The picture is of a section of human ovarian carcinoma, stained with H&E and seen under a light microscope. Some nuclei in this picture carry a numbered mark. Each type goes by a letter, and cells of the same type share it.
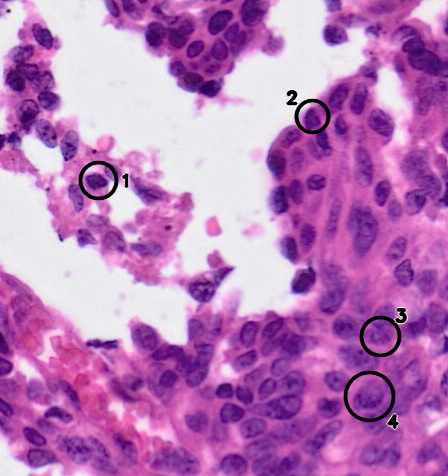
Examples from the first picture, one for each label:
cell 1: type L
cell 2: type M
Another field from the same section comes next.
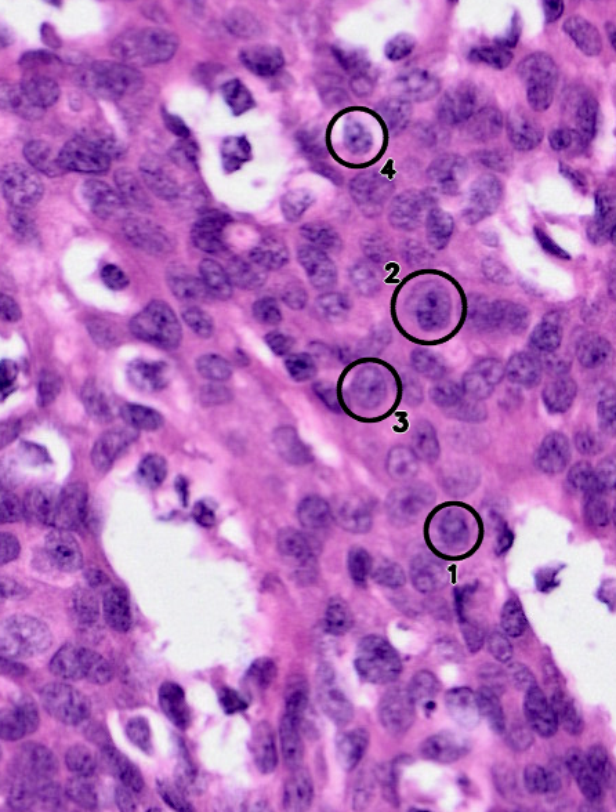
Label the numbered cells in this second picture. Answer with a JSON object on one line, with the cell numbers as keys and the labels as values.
{"1": "type M", "2": "type M", "3": "type M", "4": "type L"}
